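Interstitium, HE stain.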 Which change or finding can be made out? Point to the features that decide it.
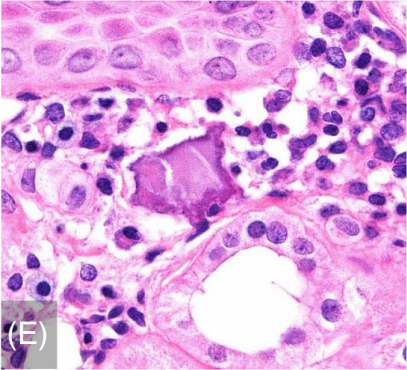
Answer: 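An angular, purple-violet glassy deposit lies between tubules. The deposit is surrounded by many small round inflammatory cells. On this evidence: Calcification.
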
